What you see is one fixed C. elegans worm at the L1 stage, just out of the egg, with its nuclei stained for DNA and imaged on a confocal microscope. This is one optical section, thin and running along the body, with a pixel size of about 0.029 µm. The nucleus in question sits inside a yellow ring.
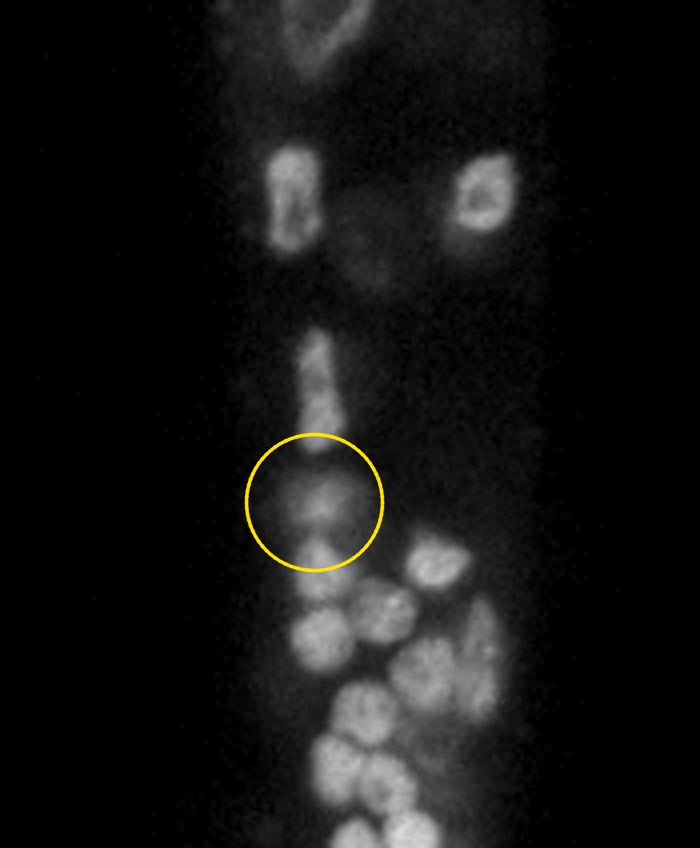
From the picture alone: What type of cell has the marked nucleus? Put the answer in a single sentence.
The nucleus comes from a neuron.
